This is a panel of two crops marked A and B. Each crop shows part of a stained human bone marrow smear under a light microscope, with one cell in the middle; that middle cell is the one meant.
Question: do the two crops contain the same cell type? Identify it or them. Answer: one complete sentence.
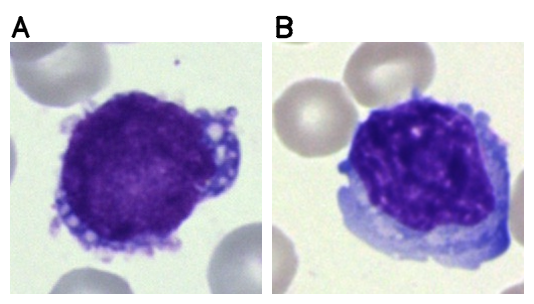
Yes, both crops are centred on blasts.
